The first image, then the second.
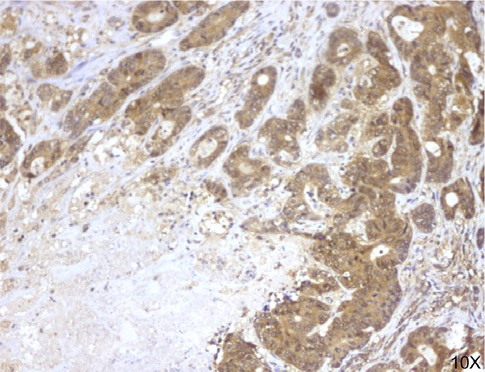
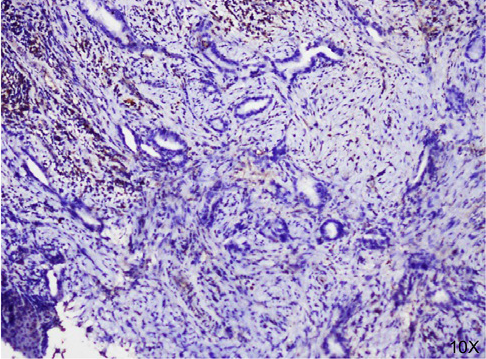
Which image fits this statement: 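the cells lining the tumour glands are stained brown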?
The first image.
